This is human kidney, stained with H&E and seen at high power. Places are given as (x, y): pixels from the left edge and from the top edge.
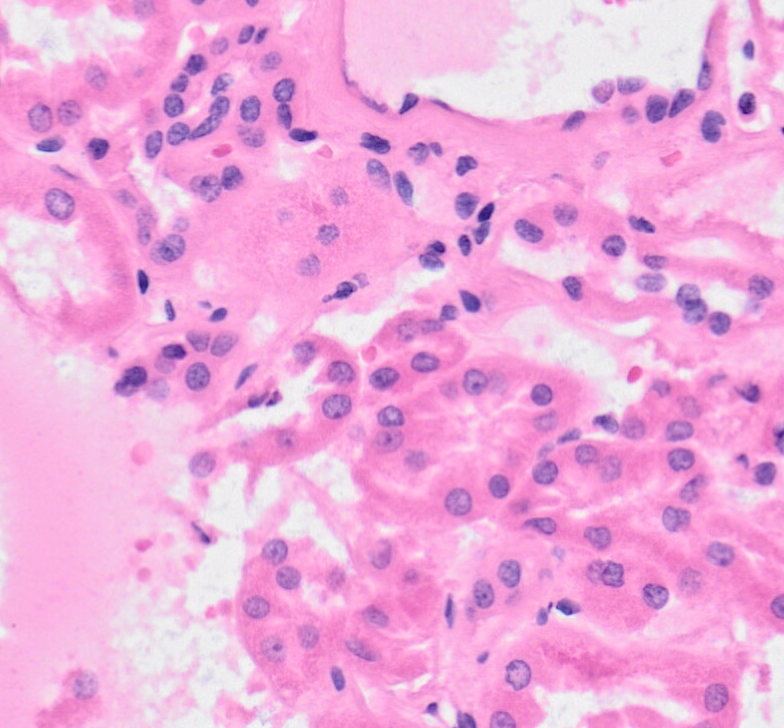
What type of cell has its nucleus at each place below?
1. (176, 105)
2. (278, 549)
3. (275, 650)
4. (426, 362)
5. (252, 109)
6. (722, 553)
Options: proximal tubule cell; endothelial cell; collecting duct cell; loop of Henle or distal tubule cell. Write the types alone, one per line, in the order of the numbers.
collecting duct cell
proximal tubule cell
proximal tubule cell
proximal tubule cell
collecting duct cell
proximal tubule cell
